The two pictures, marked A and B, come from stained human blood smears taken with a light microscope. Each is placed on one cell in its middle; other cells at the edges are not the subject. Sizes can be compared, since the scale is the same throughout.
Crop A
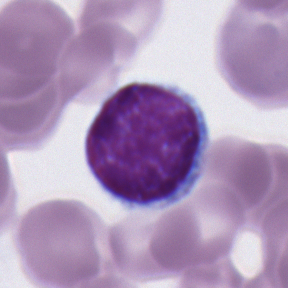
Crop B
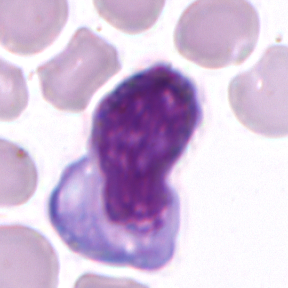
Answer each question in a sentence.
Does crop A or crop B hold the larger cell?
Crop B holds the larger cell; it covers about 1.5 times the area of the cell in crop A.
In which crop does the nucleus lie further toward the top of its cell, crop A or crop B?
Seen within its cell, the nucleus in crop B lies further toward the top.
